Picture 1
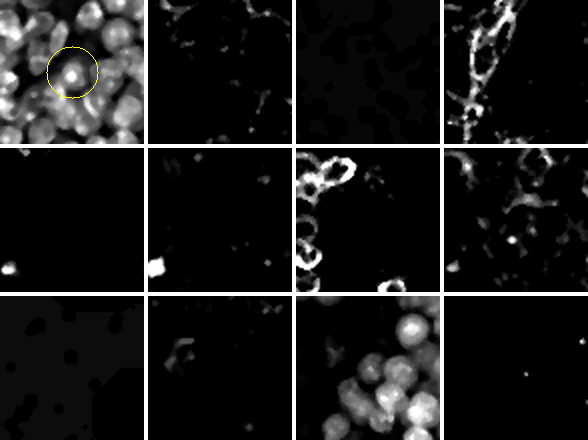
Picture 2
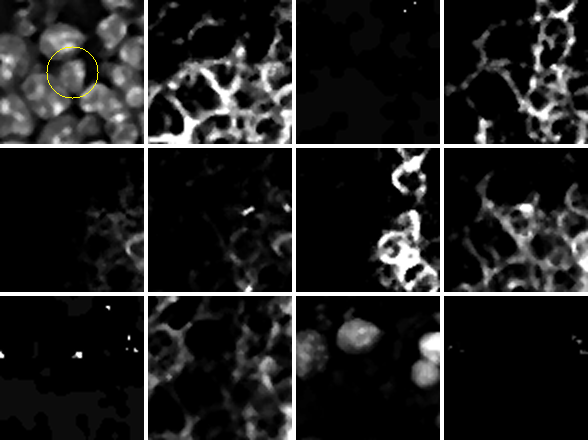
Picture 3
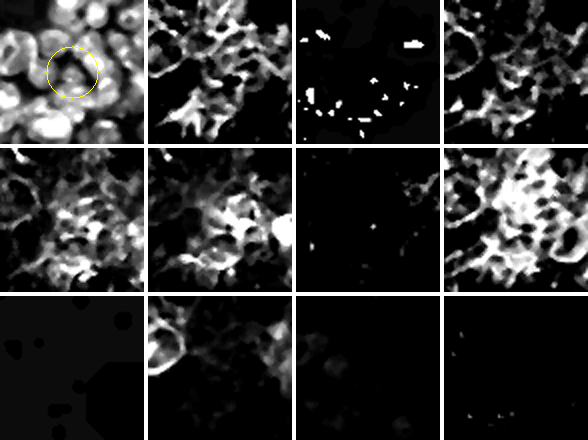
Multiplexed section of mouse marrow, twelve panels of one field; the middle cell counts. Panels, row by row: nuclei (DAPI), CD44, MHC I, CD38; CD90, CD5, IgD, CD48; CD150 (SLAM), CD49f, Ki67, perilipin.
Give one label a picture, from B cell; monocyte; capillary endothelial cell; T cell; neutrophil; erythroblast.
Picture 1: erythroblast
Picture 2: monocyte
Picture 3: T cell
